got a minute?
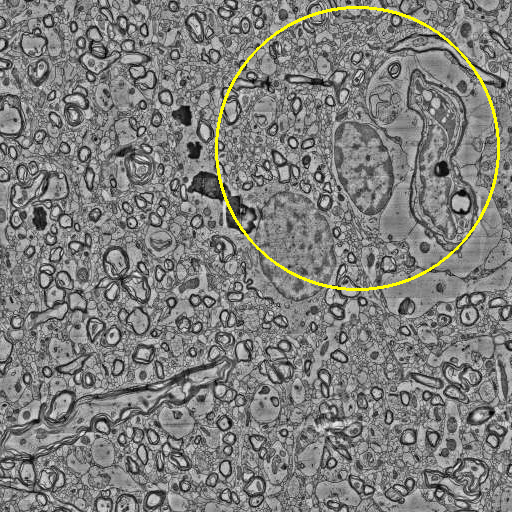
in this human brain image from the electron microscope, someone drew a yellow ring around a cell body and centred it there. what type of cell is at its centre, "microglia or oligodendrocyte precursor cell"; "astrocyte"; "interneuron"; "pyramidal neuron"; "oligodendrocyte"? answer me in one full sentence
It's a microglial cell or oligodendrocyte precursor cell at the middle of that yellow ring in the shot.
